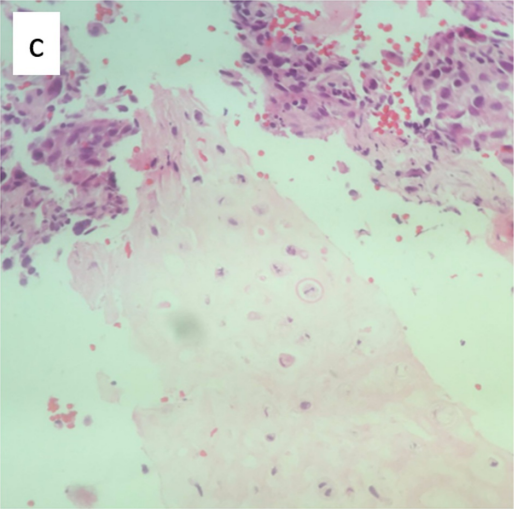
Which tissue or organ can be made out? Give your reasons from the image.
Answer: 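A pale glassy pink matrix holds scattered cells sitting in rounded spaces. Next to it lie clusters of crowded cells with large dark irregular nuclei. So: high grade condroblastic component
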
